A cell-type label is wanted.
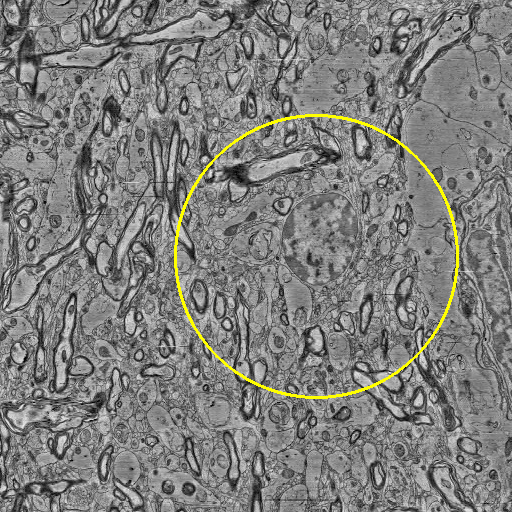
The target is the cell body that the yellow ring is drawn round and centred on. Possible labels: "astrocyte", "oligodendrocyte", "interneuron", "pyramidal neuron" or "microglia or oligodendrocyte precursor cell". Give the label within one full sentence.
Of the labels offered, the cell in the middle of the yellow ring is a microglial cell or oligodendrocyte precursor cell.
